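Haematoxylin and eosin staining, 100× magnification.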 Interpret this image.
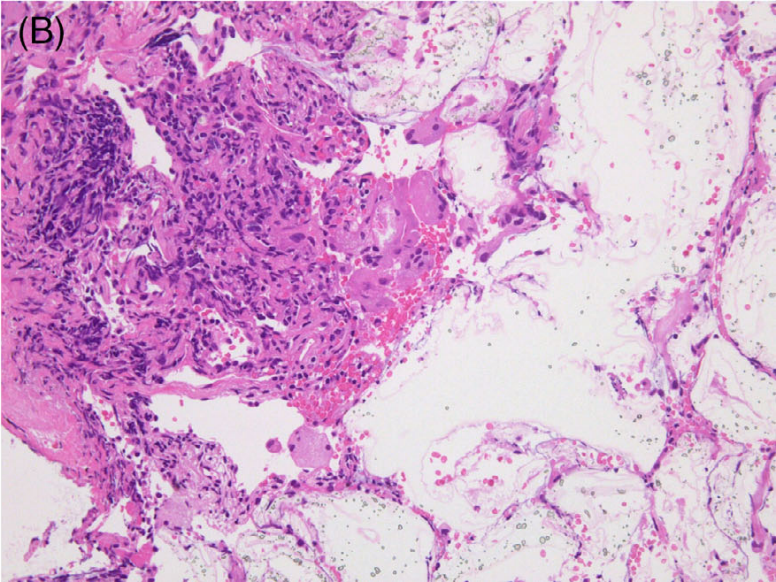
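This is lung tissue in which a dense, cellular area of fibrous interstitium lies beside open alveolar spaces. The cellular area is crowded with spindle-shaped and oval purple nuclei set among pink fibrous strands. Toward its right edge lie large cells with abundant pink cytoplasm, some of them holding several nuclei, and these are accompanied by red blood cells. On the right, thin pink septa outline open spaces. These spaces contain pale pink material without structure and scattered fine grey granules.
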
